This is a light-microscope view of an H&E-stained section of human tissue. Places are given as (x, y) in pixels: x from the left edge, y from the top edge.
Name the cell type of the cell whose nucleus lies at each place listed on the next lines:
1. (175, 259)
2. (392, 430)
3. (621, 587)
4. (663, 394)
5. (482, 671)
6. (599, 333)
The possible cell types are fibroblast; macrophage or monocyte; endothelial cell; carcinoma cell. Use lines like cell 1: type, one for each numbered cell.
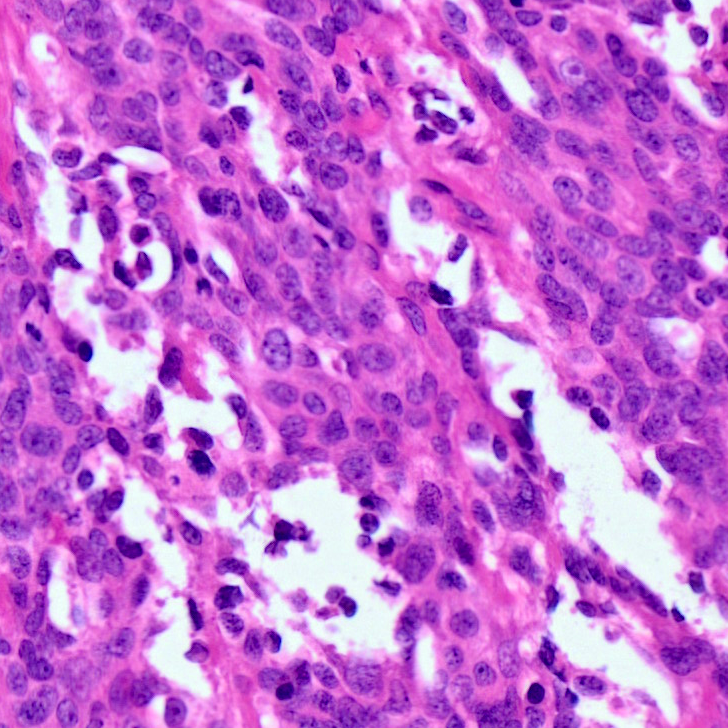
cell 1: carcinoma cell
cell 2: carcinoma cell
cell 3: carcinoma cell
cell 4: carcinoma cell
cell 5: macrophage or monocyte
cell 6: macrophage or monocyte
